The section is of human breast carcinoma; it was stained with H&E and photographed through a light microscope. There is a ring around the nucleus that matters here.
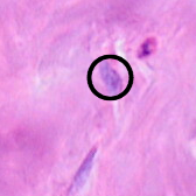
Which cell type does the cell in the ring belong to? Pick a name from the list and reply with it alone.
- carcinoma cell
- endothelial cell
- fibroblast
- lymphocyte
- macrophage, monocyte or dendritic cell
fibroblast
